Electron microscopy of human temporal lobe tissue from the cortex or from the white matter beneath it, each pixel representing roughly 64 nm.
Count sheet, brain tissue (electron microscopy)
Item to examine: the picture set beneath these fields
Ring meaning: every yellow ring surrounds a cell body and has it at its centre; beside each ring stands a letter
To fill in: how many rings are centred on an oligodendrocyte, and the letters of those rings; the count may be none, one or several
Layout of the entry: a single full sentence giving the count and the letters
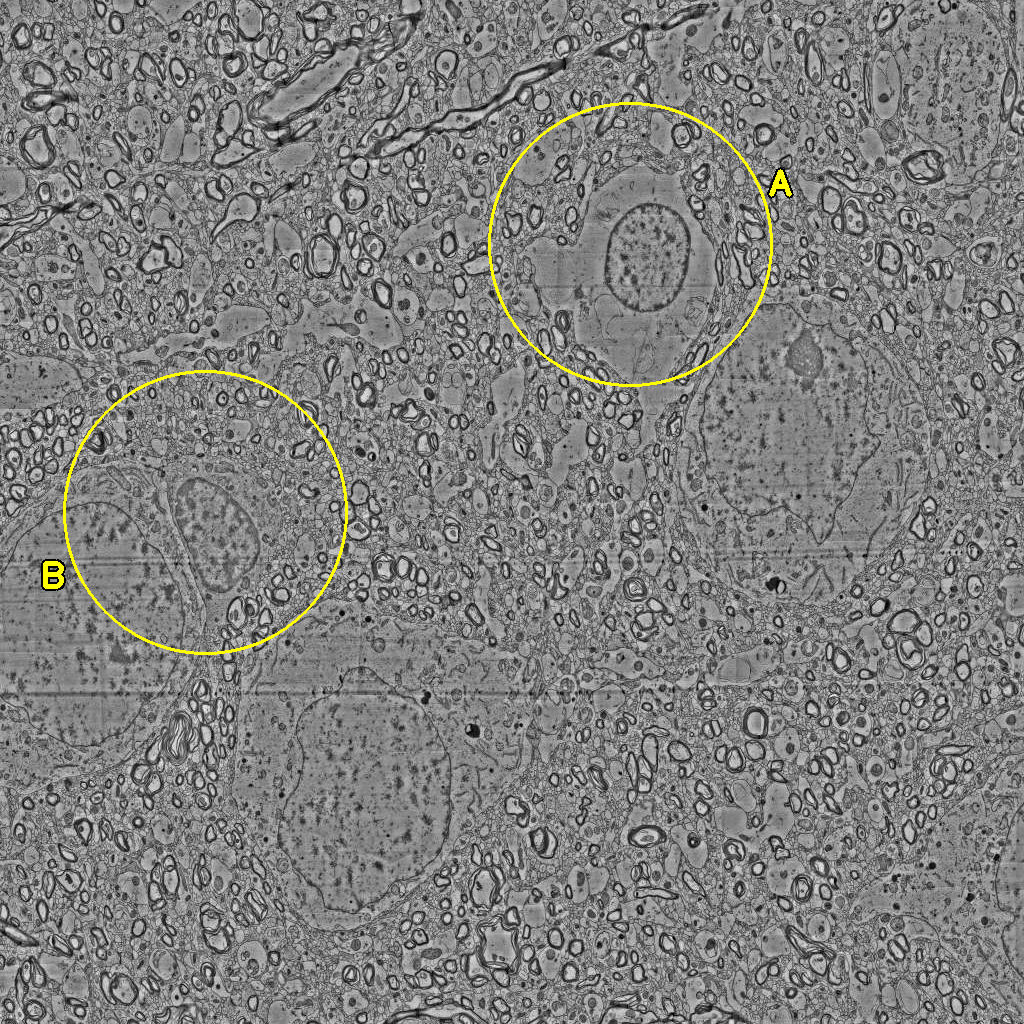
Centred on an oligodendrocyte is a single ring, and the letter next to it is B.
